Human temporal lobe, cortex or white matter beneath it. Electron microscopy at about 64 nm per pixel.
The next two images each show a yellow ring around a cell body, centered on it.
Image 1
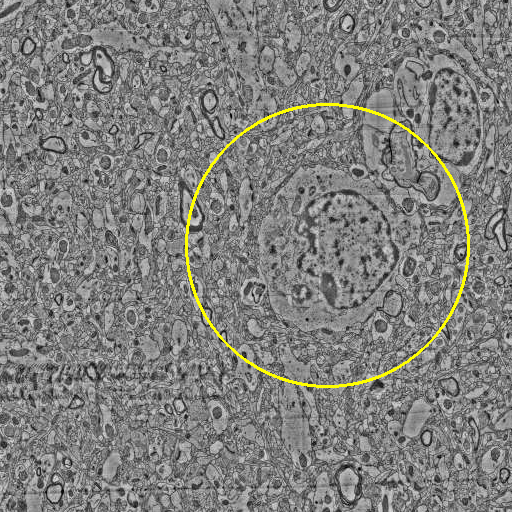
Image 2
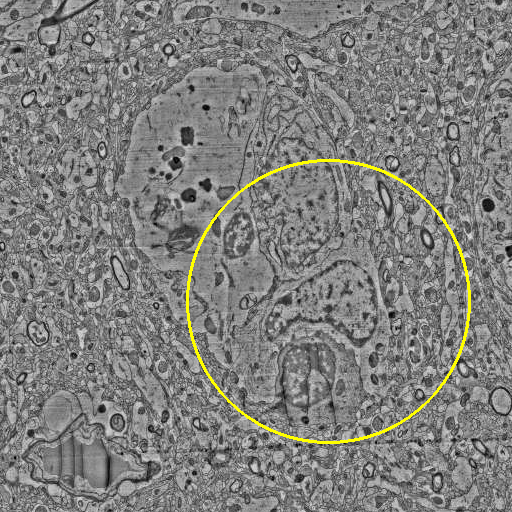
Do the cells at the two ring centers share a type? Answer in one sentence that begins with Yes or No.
Yes, across the two images the cells at the ring centers share one type.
